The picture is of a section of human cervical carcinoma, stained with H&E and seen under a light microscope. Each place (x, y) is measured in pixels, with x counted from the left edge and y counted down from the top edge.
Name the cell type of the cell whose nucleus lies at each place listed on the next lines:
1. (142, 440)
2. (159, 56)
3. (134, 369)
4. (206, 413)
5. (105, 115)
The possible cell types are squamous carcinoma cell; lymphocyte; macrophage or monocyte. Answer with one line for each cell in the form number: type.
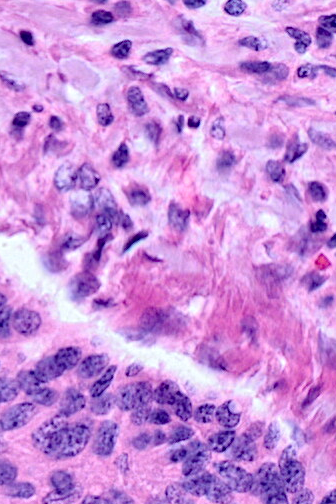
1: squamous carcinoma cell
2: lymphocyte
3: squamous carcinoma cell
4: squamous carcinoma cell
5: macrophage or monocyte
